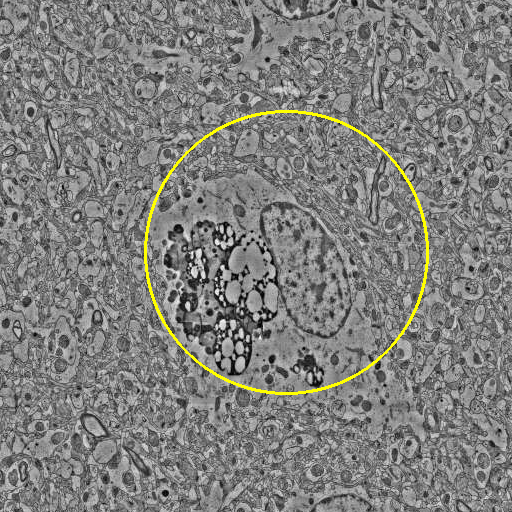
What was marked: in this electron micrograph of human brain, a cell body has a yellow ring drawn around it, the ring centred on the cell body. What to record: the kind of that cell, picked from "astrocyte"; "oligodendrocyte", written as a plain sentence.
The centred cell is an astrocyte.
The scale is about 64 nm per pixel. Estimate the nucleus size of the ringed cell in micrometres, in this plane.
About 9 by 5 micrometres; in this plane the nucleus is clearly longer than it is wide.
